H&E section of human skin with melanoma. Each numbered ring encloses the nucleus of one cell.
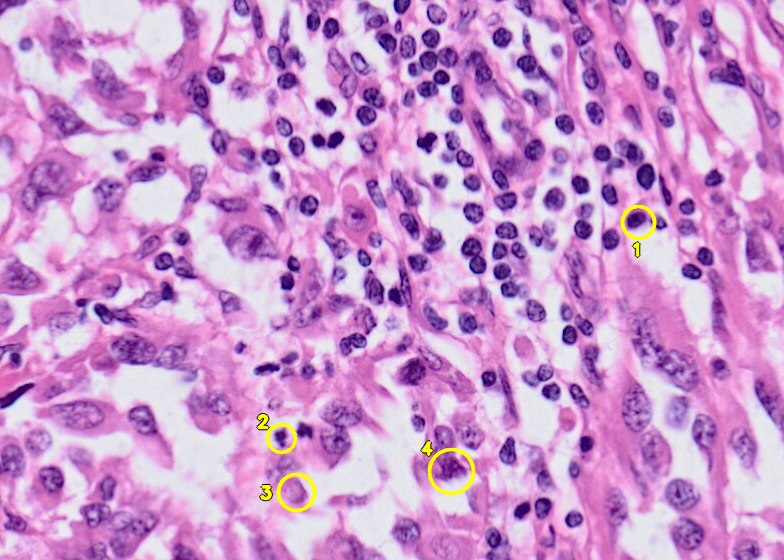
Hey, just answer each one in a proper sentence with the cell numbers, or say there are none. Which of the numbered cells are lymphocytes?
In short, cell 2 is a lymphocyte; the others are not.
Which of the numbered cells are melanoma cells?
Here, the cells that carry numbers 3 and 4 are melanoma cells.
